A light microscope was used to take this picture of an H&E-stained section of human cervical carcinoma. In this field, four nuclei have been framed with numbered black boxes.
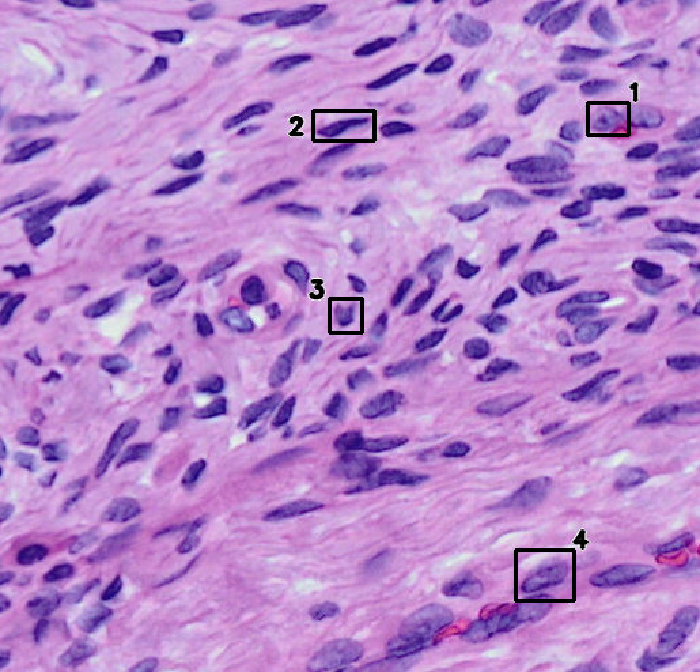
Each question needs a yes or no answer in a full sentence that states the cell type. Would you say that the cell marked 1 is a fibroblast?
No, cell 1 is to be read as an endothelial cell, not a fibroblast.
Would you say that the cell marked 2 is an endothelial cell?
No, cell 2 is to be read as a fibroblast, not an endothelial cell.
